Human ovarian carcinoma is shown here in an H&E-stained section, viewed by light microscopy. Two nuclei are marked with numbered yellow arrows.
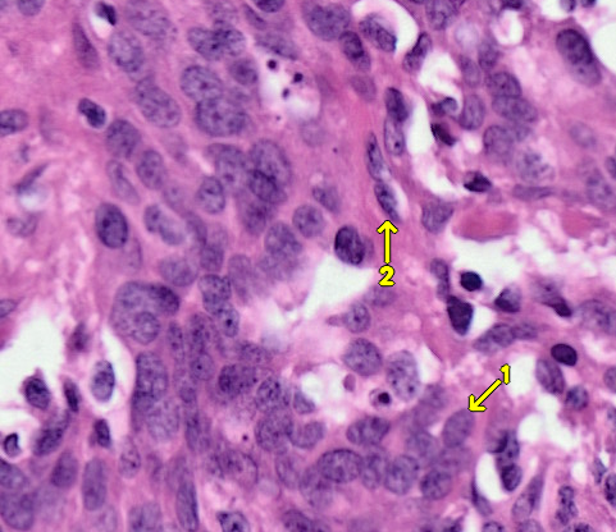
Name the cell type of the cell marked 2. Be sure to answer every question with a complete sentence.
Denoted by the label 2 in the section is an endothelial cell.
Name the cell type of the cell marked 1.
The expected answer is that cell 1 is a carcinoma cell.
